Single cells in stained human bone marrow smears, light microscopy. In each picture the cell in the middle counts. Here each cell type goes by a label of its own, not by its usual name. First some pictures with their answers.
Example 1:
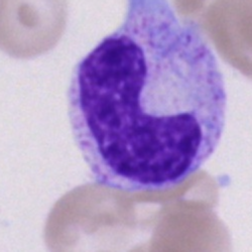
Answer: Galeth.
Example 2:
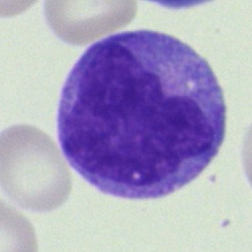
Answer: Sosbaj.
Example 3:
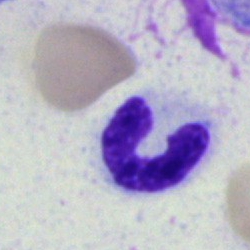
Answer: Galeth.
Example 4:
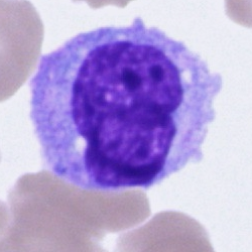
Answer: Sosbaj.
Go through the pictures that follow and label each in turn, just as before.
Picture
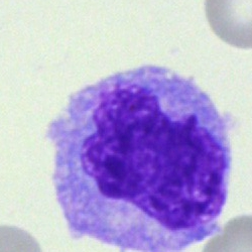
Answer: Sosbaj.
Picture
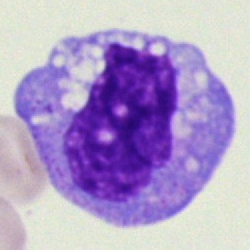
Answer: Sosbaj.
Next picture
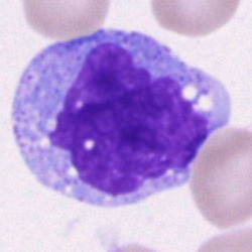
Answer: Sosbaj.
